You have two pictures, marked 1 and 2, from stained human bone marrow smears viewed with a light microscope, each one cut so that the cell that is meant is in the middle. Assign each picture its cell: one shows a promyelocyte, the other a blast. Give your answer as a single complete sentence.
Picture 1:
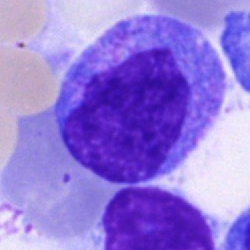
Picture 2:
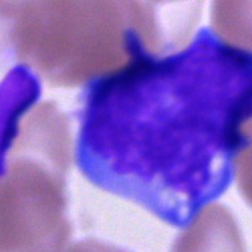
It is picture 1 that shows a promyelocyte, and picture 2 that shows a blast.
